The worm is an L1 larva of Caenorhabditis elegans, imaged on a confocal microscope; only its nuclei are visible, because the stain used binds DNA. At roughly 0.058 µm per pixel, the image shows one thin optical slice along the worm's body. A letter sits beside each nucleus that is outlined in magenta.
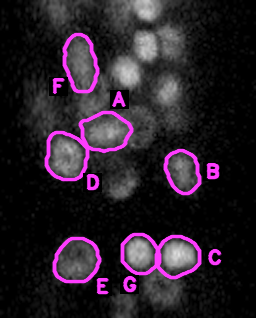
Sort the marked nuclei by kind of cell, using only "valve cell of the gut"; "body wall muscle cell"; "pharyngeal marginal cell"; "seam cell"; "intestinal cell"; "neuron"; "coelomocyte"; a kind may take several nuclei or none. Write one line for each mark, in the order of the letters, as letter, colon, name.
A: valve cell of the gut
B: body wall muscle cell
C: coelomocyte
D: body wall muscle cell
E: intestinal cell
F: pharyngeal marginal cell
G: neuron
